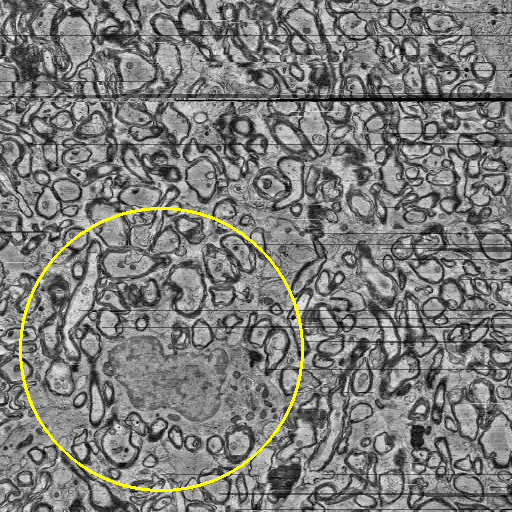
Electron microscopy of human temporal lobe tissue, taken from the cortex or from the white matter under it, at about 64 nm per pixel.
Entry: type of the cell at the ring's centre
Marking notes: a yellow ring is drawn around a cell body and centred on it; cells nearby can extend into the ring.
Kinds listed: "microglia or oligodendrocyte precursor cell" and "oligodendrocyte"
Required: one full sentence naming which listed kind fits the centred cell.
My entry names an oligodendrocyte as the cell whose body the yellow ring centres on.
